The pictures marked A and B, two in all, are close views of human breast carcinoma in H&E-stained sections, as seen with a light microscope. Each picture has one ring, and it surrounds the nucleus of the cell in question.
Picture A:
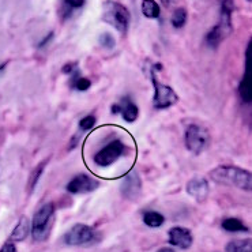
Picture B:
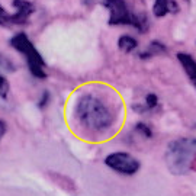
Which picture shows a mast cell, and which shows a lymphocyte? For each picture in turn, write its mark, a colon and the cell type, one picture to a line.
A: lymphocyte
B: mast cell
